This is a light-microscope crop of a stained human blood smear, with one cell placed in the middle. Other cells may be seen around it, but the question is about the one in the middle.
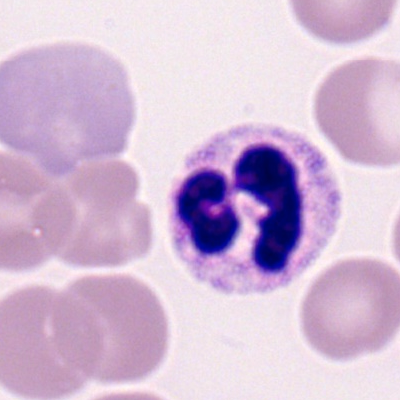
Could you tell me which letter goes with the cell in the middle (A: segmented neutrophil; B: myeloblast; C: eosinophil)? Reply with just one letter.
A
